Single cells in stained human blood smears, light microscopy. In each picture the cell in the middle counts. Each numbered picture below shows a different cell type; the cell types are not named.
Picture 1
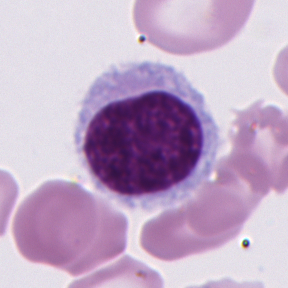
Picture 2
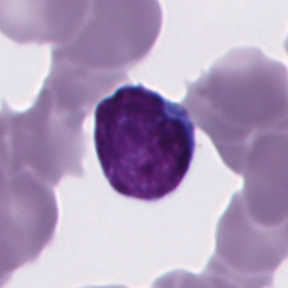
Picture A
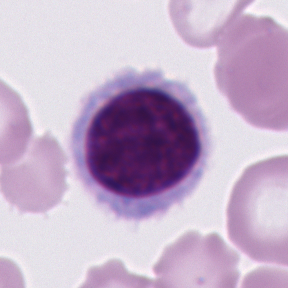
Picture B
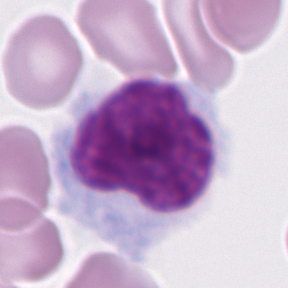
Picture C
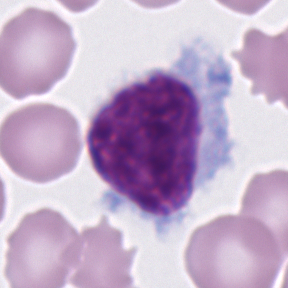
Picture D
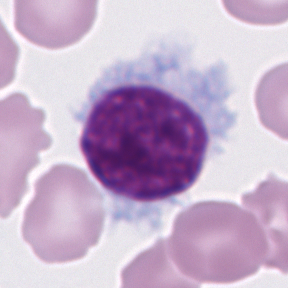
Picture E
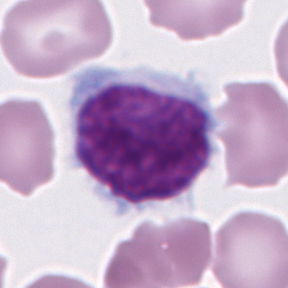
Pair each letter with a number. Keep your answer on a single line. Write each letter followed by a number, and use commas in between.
A 1, B 1, C 1, D 1, E 1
